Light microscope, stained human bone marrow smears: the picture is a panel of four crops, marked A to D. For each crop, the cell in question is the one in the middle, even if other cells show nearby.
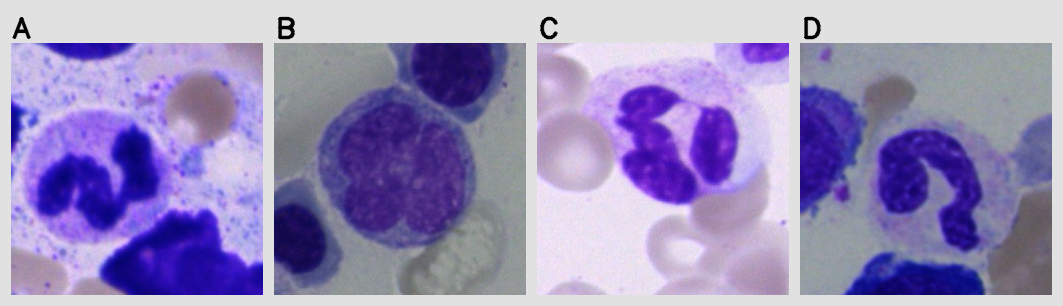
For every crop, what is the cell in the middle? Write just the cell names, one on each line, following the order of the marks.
neutrophil
monocyte
neutrophil
neutrophil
